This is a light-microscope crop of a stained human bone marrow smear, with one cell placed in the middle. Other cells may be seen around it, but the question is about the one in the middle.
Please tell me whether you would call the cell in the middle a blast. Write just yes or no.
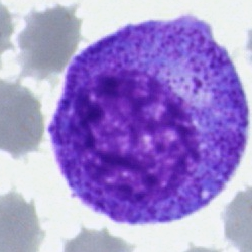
no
